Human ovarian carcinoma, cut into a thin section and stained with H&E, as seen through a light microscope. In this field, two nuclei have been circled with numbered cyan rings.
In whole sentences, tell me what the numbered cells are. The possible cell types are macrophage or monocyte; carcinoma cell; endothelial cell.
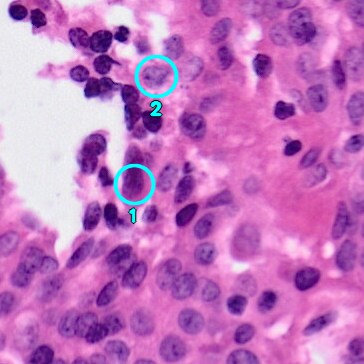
Cell 1 is a carcinoma cell. Cell 2 is a macrophage or monocyte.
